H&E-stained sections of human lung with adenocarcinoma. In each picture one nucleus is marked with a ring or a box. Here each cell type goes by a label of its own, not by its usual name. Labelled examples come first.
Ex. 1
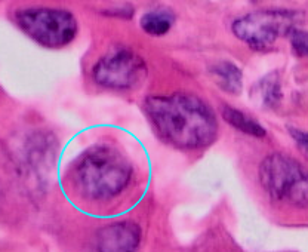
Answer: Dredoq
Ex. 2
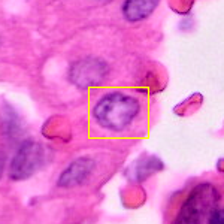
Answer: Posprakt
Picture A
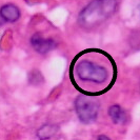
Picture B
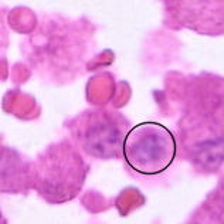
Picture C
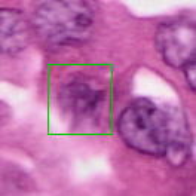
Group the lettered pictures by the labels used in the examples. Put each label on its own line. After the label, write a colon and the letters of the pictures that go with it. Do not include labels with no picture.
Dredoq: C
Posprakt: A, B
